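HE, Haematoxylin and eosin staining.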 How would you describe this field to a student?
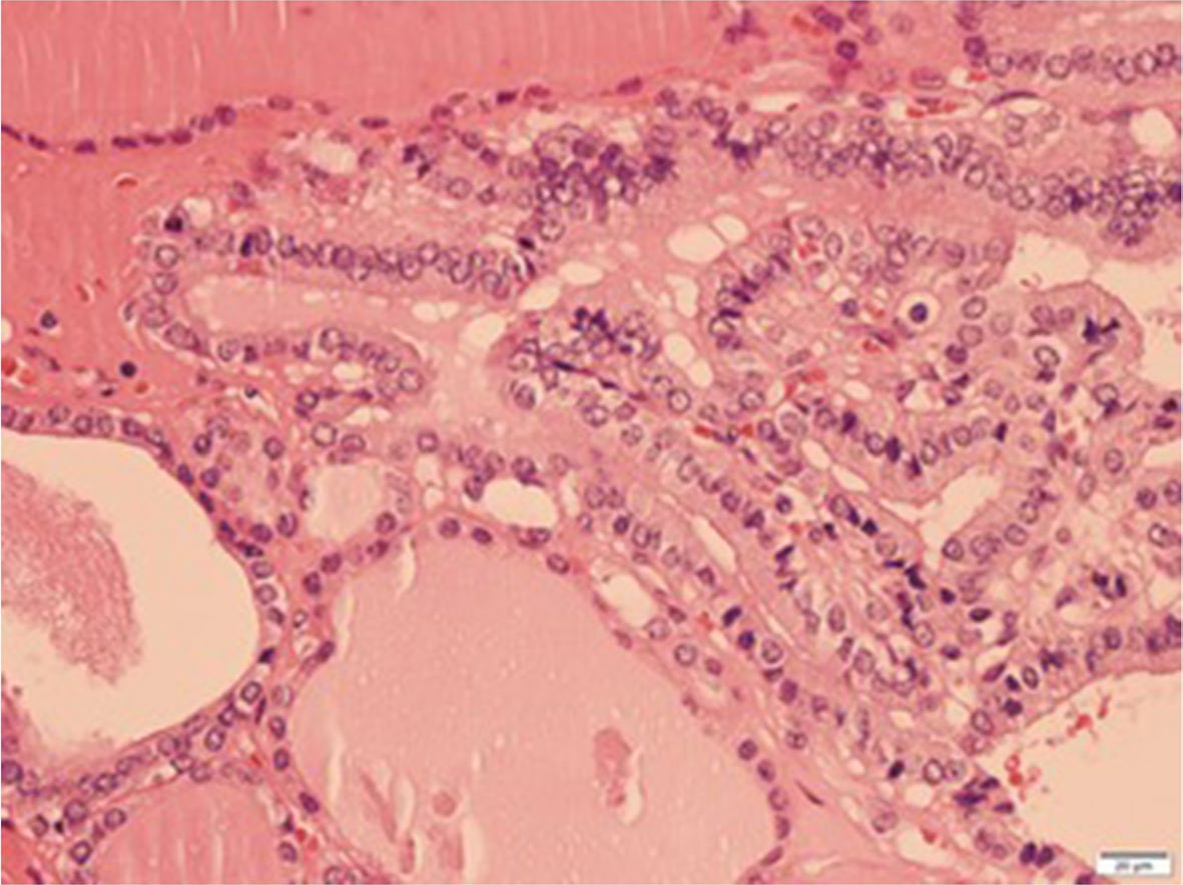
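The section shows papillary tumor tissue in which branching fronds of epithelium, each with a thin stromal core carrying small vessels and red blood cells, project into open spaces. The fronds are lined by one to several layers of cuboidal to low columnar cells with pink cytoplasm. Their nuclei are round to oval, crowded and overlapping, with pale, clear centres and a sharp dark rim, while a few nuclei are small, dark and irregular.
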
